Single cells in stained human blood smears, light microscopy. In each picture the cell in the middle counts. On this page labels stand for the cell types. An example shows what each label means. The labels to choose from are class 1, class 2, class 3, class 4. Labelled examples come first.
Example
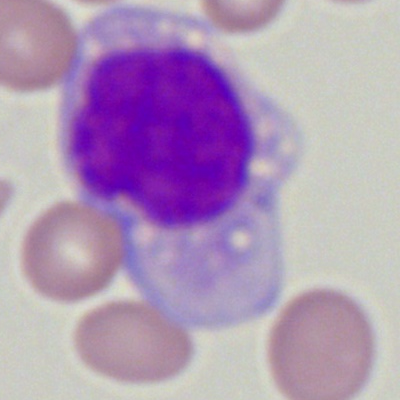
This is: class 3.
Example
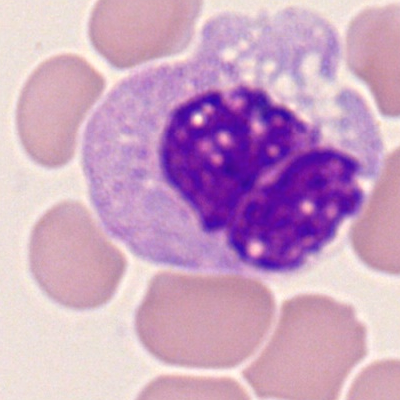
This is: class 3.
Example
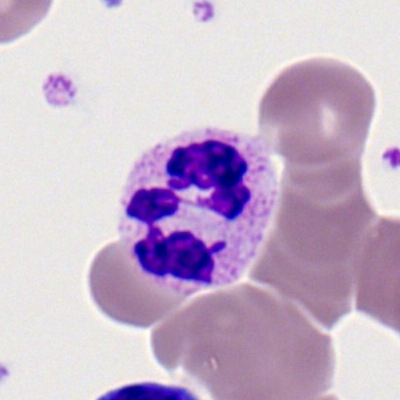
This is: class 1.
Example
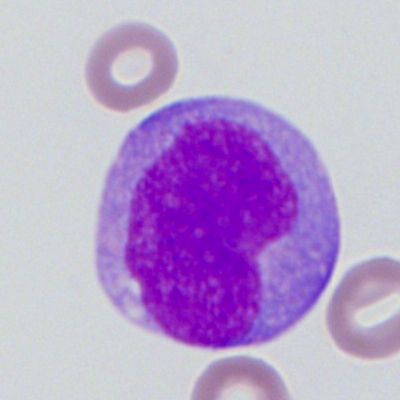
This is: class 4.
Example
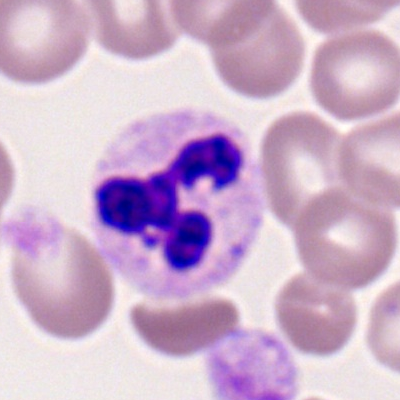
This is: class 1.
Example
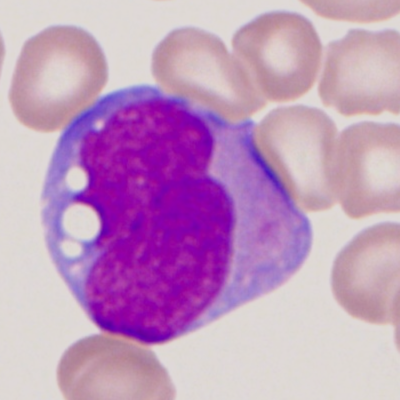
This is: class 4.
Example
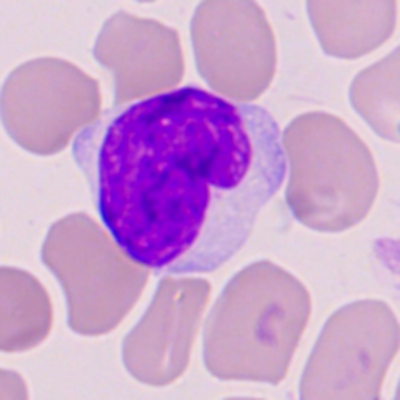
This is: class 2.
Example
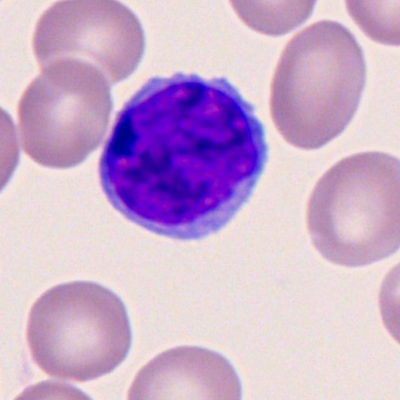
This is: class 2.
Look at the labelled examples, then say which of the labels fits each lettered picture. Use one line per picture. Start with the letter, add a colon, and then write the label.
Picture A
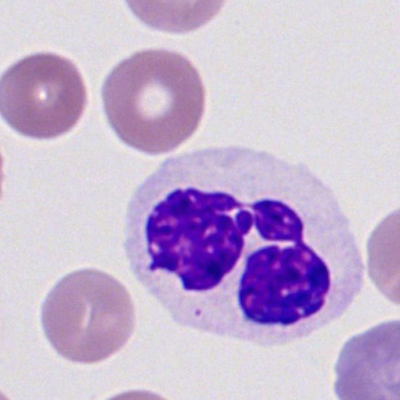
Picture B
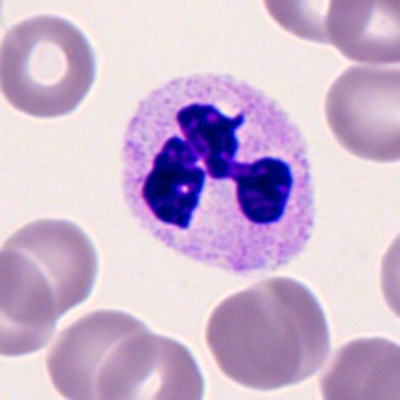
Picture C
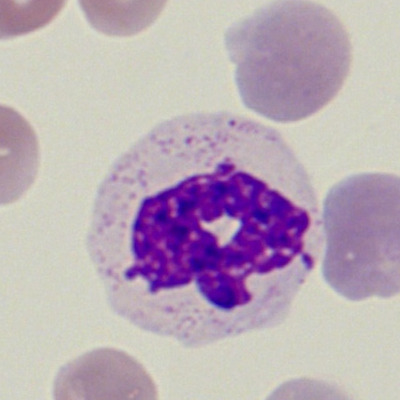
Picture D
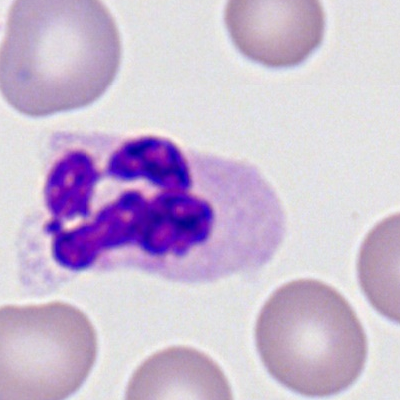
A: class 1.
B: class 1.
C: class 1.
D: class 1.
